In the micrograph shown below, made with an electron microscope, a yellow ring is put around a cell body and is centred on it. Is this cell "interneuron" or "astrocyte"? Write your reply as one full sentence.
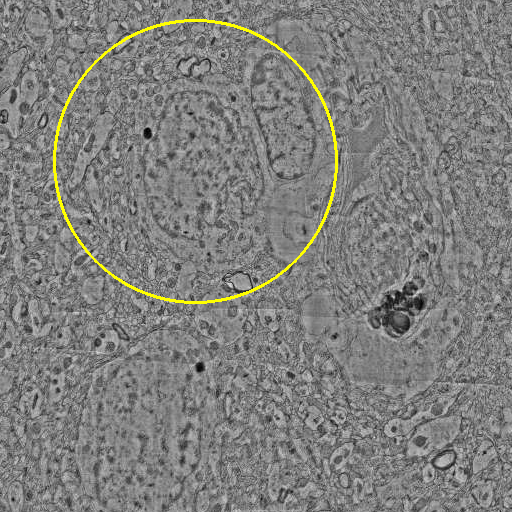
In the micrograph, an interneuron is the cell at the centre of the yellow ring.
